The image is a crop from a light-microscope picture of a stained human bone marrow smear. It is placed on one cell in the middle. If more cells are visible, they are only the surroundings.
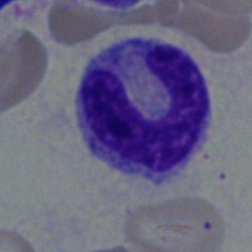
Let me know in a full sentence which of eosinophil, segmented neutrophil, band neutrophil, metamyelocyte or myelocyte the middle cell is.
The cell sitting right in the middle is a band neutrophil.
